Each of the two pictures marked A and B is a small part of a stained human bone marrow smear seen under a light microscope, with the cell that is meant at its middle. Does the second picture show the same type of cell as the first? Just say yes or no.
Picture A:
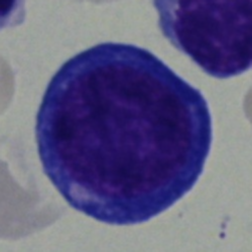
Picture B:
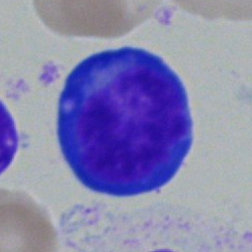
yes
